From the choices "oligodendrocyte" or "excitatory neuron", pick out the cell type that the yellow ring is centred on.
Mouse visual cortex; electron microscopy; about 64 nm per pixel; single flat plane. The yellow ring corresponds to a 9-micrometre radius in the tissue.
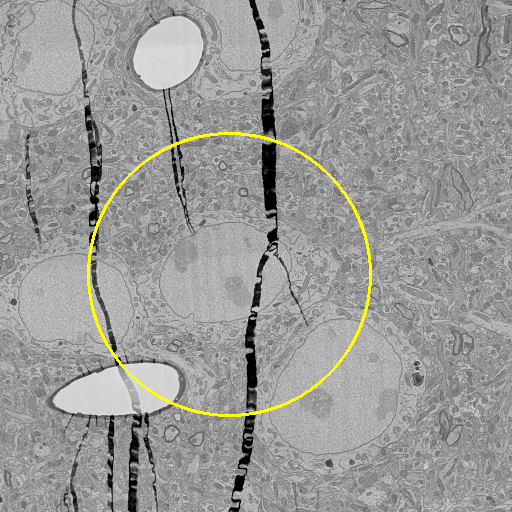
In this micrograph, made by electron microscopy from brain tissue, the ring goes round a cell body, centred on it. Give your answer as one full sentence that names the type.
The yellow ring is centred on an excitatory neuron, whose cell body it encircles in the picture.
